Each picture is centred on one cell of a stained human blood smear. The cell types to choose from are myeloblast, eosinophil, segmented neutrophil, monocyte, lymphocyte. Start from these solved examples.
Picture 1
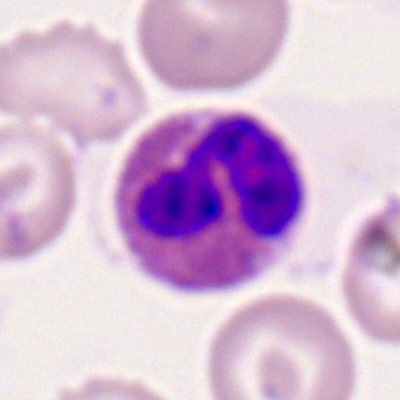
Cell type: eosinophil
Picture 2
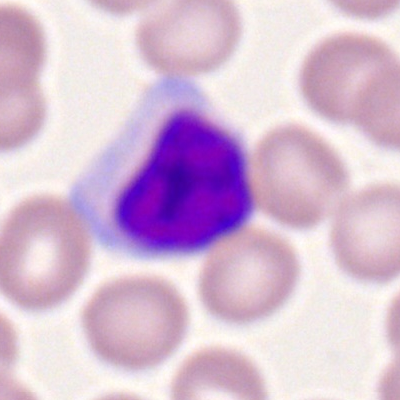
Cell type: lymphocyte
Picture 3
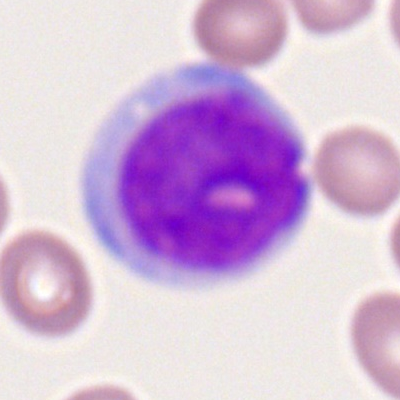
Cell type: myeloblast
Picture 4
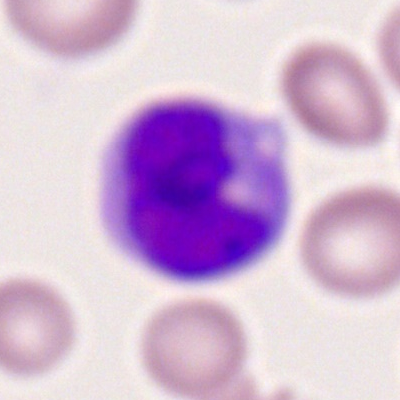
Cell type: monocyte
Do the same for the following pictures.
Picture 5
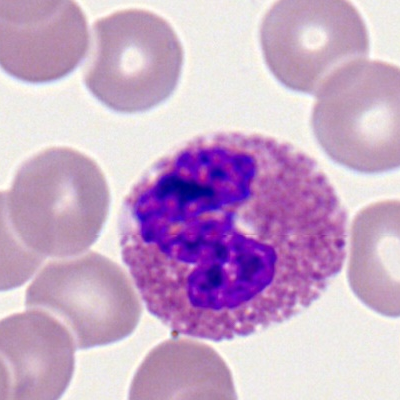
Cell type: eosinophil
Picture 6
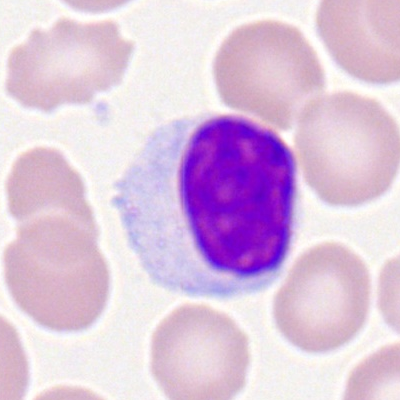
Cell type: lymphocyte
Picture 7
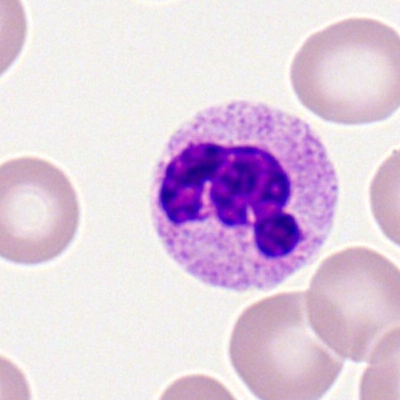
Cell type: segmented neutrophil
